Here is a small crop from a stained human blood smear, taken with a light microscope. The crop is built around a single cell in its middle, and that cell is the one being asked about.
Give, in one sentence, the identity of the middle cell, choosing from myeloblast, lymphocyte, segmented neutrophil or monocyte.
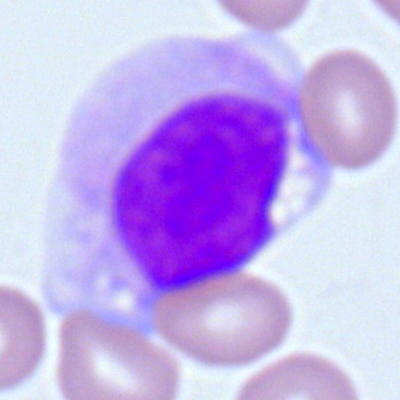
In short, the cell at the center is a monocyte.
